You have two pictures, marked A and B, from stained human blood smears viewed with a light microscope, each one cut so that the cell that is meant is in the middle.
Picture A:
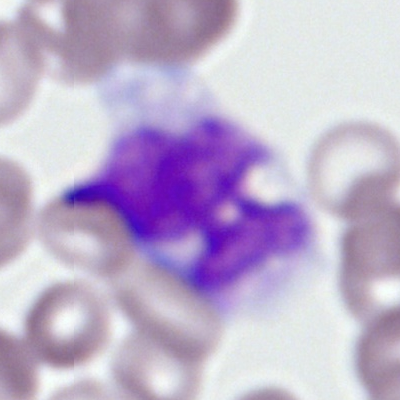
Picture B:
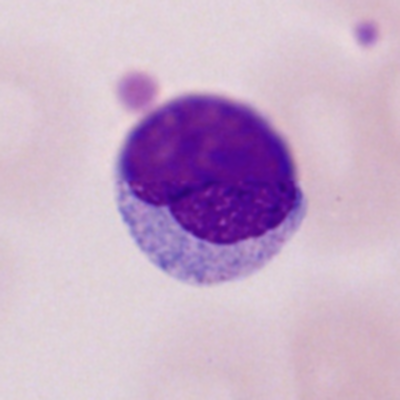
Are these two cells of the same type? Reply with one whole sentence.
No, they differ: the cell is a monocyte in picture A and a lymphocyte in picture B.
